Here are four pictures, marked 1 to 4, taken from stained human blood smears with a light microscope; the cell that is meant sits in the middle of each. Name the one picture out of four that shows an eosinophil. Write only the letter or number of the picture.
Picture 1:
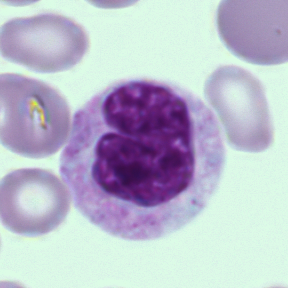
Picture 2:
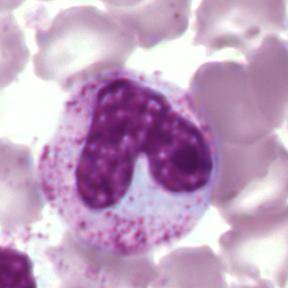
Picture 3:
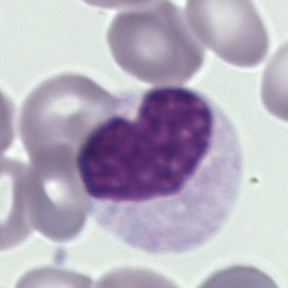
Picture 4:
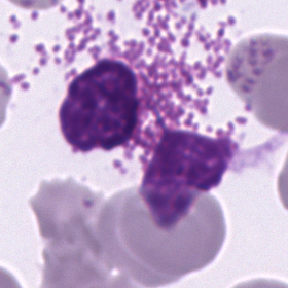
4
